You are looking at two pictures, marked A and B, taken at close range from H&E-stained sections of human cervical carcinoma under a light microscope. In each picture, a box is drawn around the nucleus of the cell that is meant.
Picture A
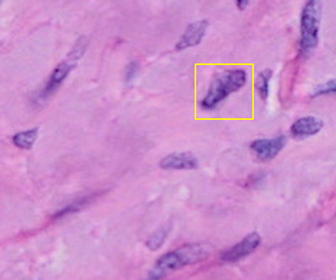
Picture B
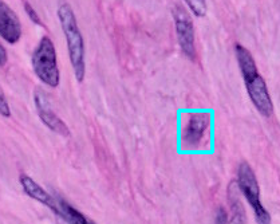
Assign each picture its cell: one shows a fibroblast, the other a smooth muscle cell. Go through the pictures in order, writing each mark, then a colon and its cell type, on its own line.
A: fibroblast
B: smooth muscle cell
